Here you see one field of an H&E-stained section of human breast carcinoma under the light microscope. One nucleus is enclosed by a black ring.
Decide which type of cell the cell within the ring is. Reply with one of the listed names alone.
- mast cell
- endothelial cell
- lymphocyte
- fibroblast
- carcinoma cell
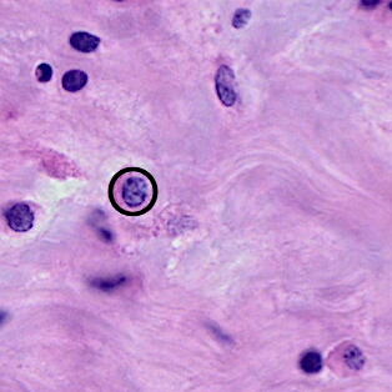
mast cell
